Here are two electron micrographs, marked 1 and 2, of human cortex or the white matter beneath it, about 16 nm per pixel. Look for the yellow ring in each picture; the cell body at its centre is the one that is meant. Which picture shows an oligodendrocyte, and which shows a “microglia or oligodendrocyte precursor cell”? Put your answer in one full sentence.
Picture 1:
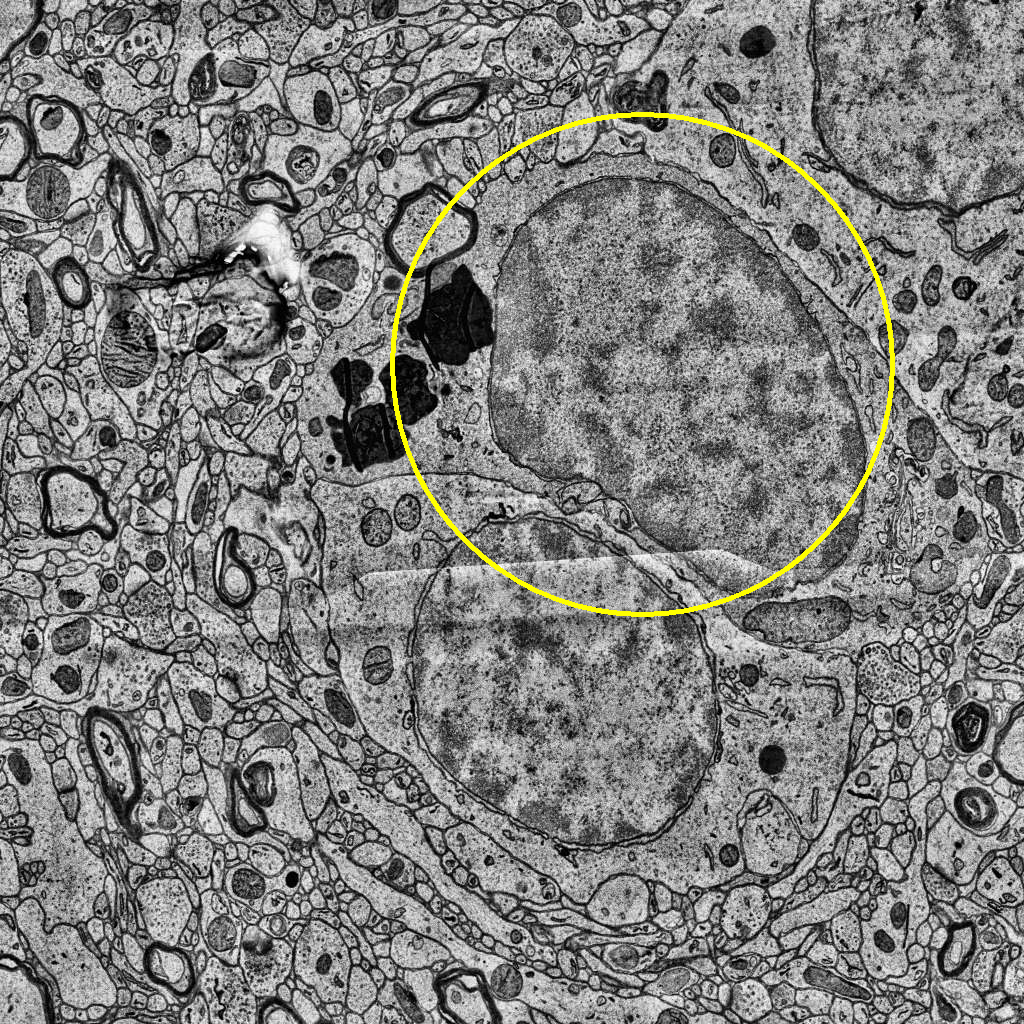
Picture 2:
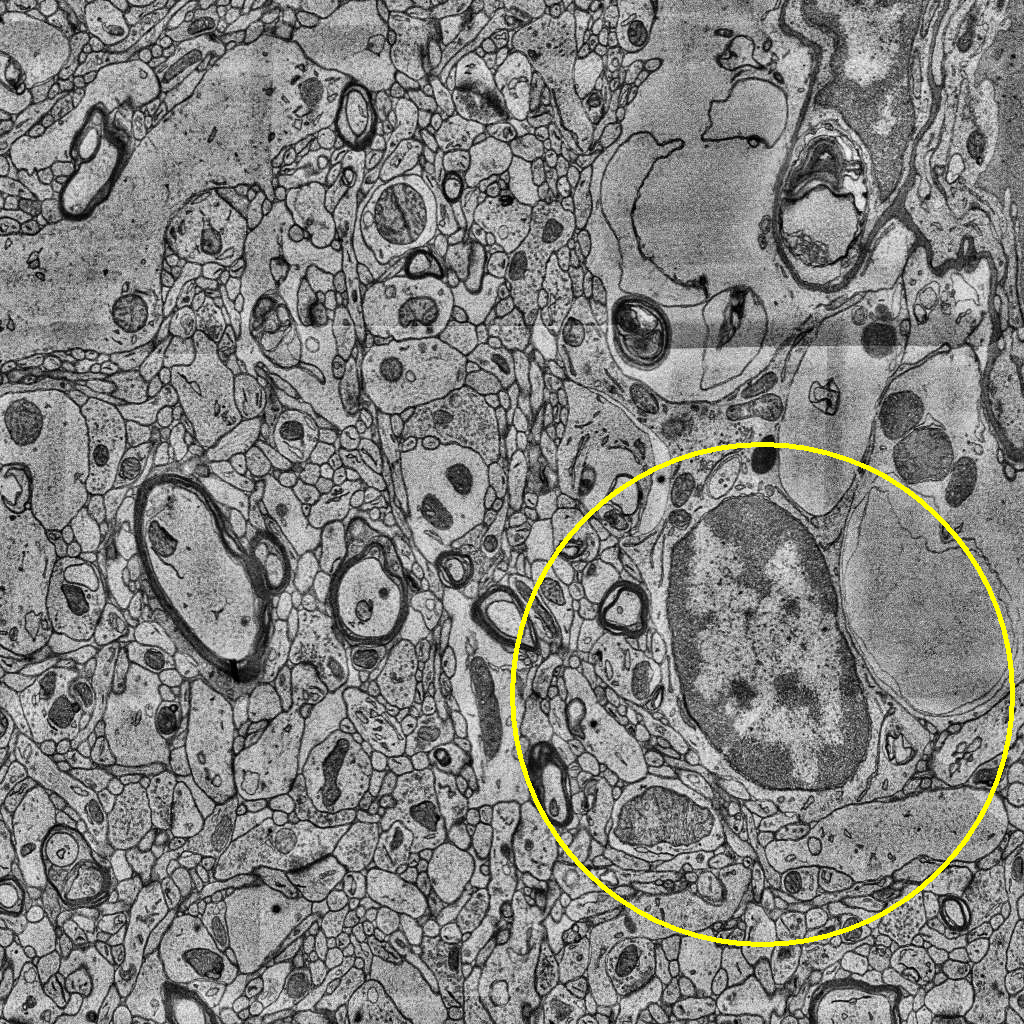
Picture 1 shows an oligodendrocyte and picture 2 shows a “microglia or oligodendrocyte precursor cell”.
